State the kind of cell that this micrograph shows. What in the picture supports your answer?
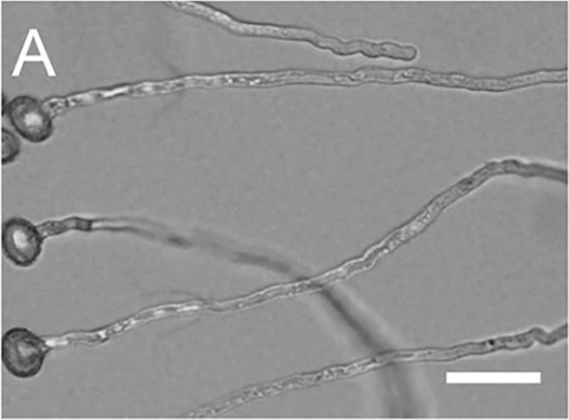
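Round grains at the left edge each give rise to one long, narrow tube. The tubes are of even width and run across most of the panel. The answer: pollen tubes.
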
